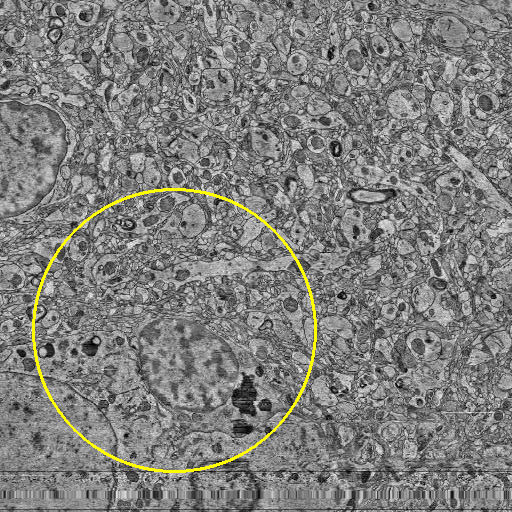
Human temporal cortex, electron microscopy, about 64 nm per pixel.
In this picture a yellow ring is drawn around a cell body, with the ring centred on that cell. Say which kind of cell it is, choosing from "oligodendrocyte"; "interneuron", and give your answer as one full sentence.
Here it is an oligodendrocyte that sits at the centre of the drawn yellow ring.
